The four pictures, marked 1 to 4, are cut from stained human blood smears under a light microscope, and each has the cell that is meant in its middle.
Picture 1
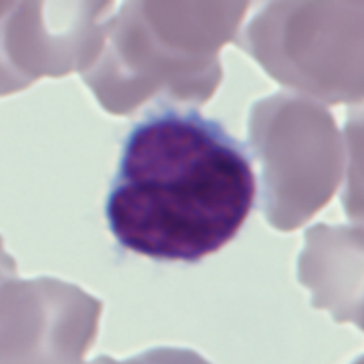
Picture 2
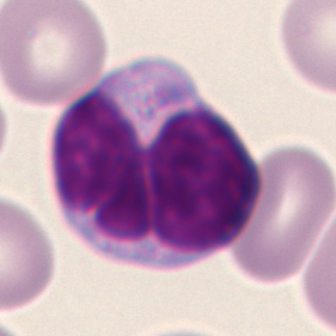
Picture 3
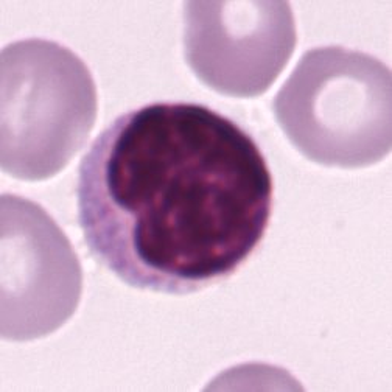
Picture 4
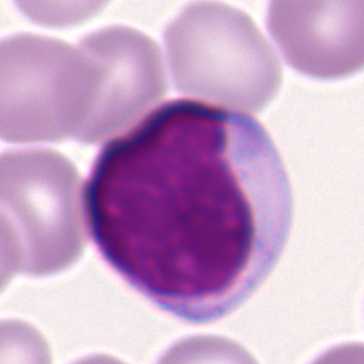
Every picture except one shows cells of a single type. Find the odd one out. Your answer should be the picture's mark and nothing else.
1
